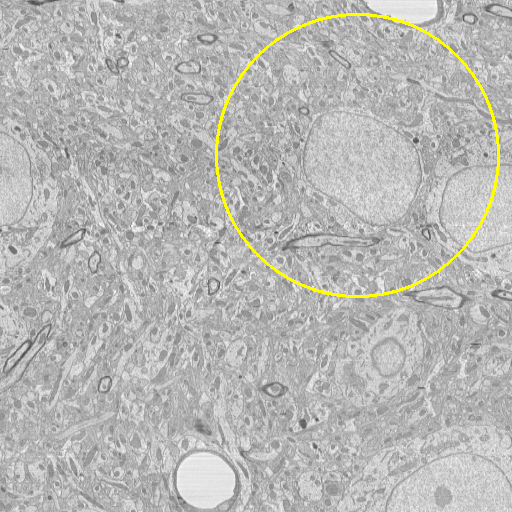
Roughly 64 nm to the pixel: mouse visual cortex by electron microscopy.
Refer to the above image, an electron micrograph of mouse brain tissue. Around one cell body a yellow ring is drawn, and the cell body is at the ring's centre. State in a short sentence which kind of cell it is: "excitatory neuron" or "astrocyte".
The centre of the ring falls on an astrocyte.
